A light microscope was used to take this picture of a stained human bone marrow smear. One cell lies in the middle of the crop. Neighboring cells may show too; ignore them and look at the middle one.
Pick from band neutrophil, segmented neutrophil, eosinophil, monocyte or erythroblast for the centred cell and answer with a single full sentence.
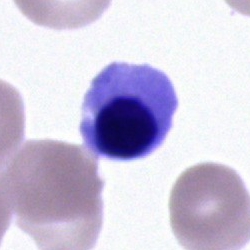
The cell at the heart of this crop is an erythroblast.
